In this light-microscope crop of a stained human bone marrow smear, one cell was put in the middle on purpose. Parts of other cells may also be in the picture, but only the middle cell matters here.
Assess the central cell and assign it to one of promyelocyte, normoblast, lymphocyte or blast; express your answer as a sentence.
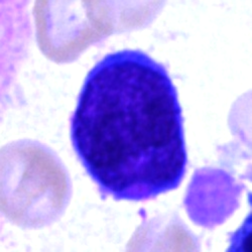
The cell under consideration, at the middle of the crop, is a blast.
